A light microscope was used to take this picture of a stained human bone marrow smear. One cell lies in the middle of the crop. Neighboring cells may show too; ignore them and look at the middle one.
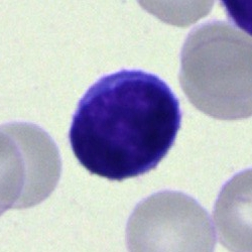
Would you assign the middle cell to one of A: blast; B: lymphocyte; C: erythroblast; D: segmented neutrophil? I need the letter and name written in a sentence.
The cell in the middle is correctly identified as a lymphocyte in option B.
